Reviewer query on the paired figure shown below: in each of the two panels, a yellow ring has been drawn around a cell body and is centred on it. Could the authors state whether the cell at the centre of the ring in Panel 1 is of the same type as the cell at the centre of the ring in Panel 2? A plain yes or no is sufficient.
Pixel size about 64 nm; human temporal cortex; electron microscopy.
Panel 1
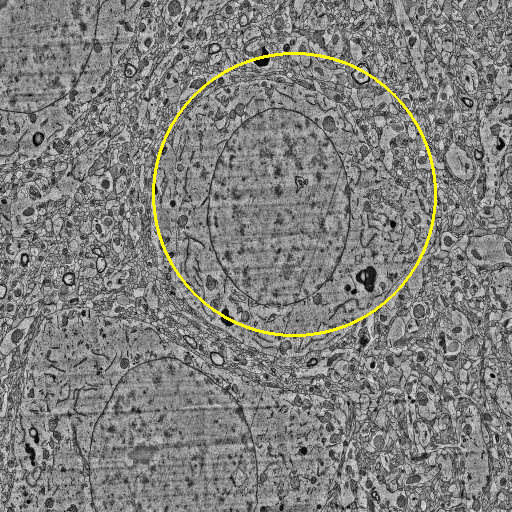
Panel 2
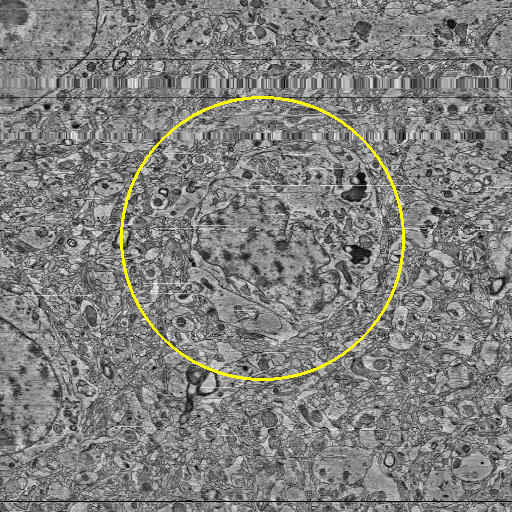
no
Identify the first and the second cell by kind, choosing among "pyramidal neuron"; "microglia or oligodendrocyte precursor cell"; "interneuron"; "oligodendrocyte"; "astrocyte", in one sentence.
The one in the first picture is a pyramidal neuron, while the one in the second is an interneuron.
